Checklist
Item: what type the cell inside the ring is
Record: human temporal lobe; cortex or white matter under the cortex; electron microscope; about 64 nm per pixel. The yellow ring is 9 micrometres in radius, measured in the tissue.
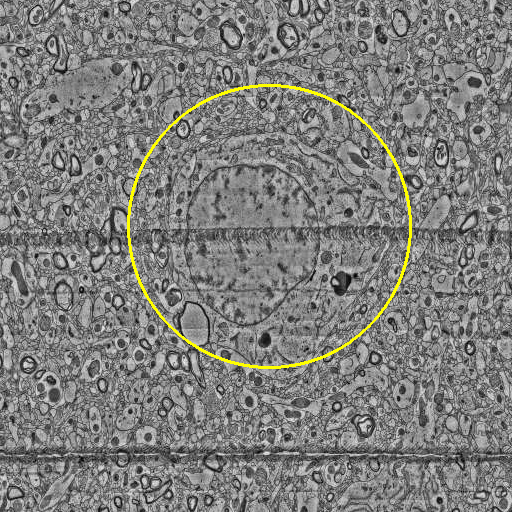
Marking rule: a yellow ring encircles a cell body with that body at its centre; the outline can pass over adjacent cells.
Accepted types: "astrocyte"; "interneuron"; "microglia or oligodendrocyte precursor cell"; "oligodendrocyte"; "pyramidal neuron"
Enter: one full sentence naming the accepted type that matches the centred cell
The entry is that a pyramidal neuron lies at the centre of the yellow ring.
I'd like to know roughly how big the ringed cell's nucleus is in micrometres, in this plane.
The nucleus works out at approximately 10 by 9 micrometres in this plane.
